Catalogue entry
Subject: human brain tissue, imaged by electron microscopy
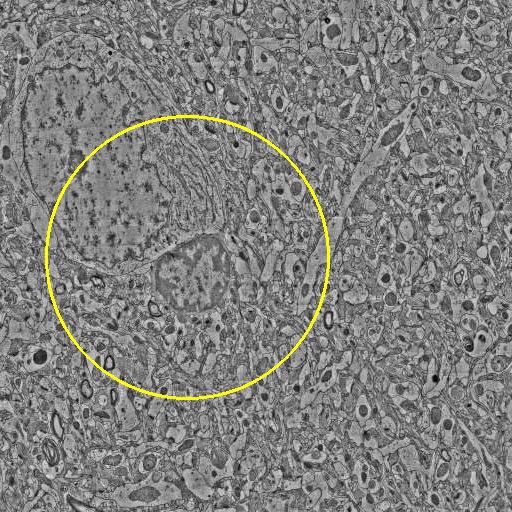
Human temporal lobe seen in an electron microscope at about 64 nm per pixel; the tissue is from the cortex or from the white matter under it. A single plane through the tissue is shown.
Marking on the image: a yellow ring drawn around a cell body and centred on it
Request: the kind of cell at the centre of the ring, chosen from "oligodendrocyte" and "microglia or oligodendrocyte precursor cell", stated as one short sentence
The ring has an oligodendrocyte at its centre.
